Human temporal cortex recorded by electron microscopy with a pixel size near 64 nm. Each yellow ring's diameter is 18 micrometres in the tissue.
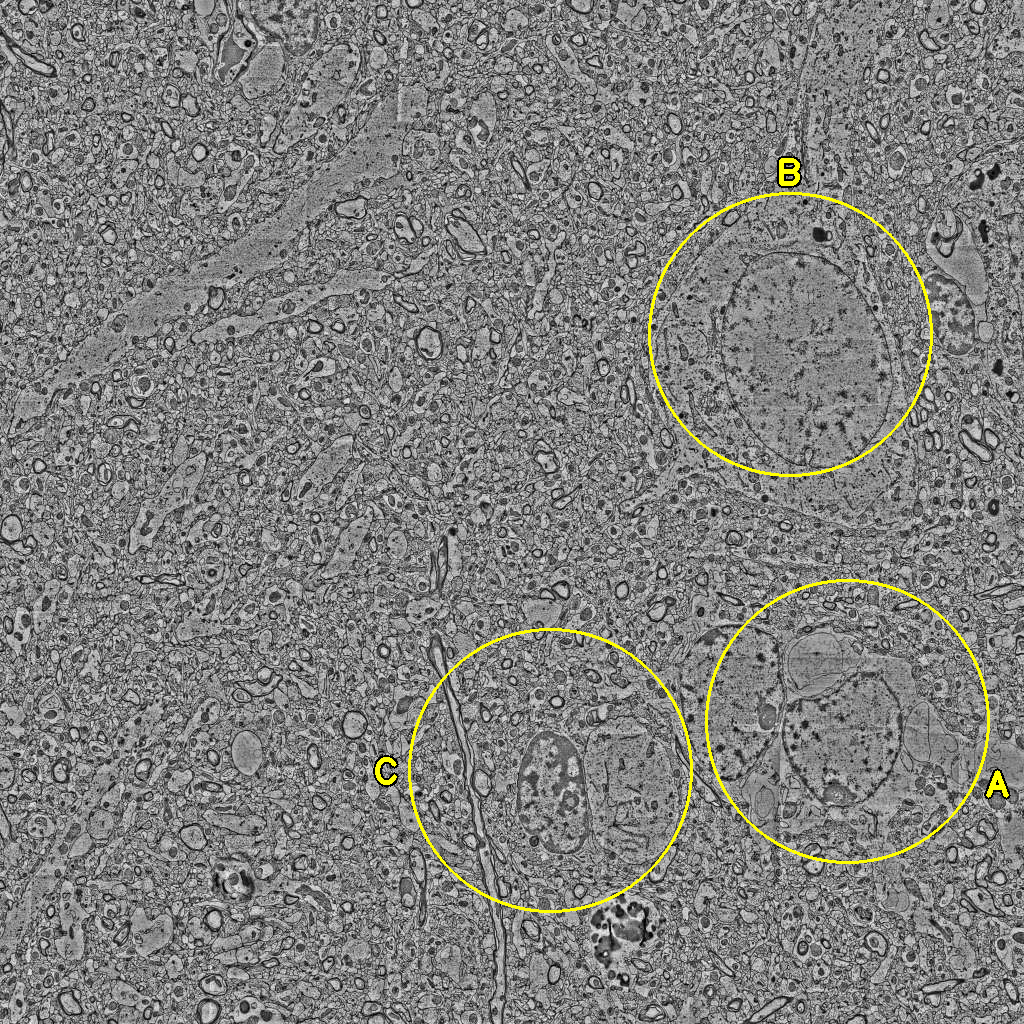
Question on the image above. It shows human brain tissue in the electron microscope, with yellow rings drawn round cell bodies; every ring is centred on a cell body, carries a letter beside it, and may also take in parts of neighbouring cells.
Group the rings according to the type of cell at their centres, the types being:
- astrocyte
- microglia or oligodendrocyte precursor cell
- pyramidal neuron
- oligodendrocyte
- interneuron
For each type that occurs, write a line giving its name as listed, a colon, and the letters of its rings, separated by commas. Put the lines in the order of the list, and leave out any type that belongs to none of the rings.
astrocyte: A
microglia or oligodendrocyte precursor cell: C
pyramidal neuron: B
